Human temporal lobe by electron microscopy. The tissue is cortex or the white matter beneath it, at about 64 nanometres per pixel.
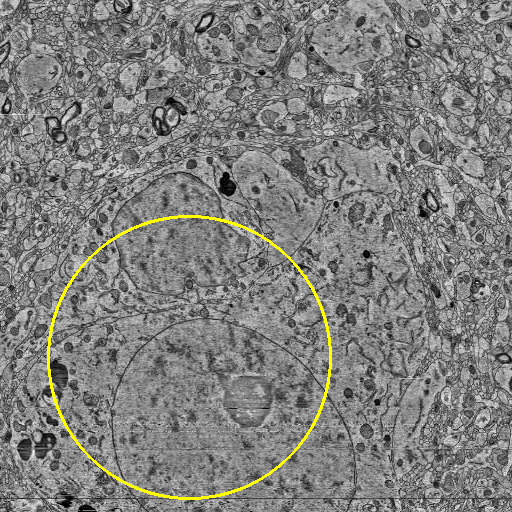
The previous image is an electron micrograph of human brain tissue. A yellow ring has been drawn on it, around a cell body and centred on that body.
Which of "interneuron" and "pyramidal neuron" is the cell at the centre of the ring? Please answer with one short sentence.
The cell body at the centre of the ring belongs to a pyramidal neuron.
